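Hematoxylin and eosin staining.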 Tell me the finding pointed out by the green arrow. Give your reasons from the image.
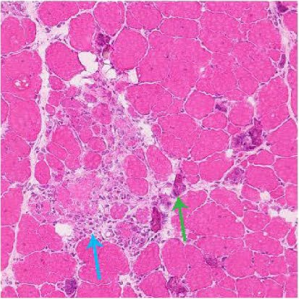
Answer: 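The marked fiber is stained deep purple. Several other purple-stained fibers lie nearby, unlike the pink fibers around.
Conclusion: calcification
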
